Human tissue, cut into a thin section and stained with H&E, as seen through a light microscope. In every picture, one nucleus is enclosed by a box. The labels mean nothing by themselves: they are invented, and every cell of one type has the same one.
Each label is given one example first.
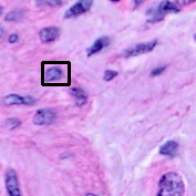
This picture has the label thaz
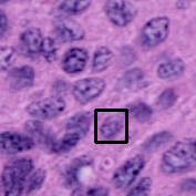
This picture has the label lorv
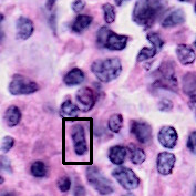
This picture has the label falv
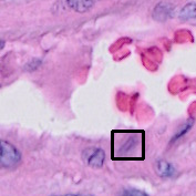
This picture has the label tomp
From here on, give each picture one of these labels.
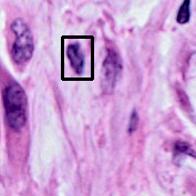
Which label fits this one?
falv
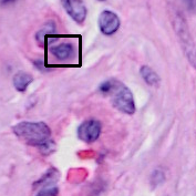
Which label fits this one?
tomp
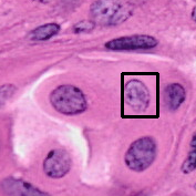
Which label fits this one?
lorv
